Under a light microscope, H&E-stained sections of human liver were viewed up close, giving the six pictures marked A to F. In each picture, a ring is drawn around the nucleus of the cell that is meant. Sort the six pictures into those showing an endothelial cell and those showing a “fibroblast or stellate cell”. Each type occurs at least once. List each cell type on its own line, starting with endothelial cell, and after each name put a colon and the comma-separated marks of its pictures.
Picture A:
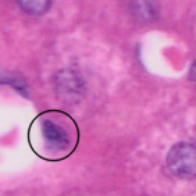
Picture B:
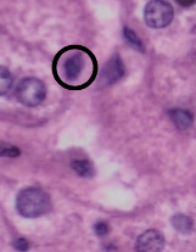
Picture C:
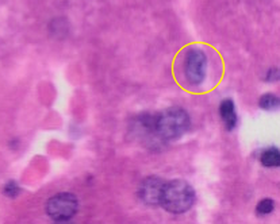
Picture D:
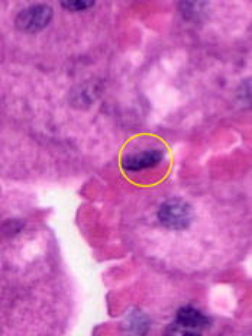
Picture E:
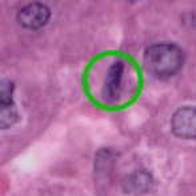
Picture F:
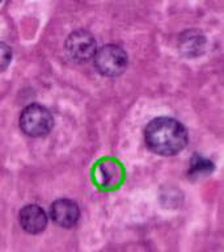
endothelial cell: D, F
fibroblast or stellate cell: A, B, C, E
